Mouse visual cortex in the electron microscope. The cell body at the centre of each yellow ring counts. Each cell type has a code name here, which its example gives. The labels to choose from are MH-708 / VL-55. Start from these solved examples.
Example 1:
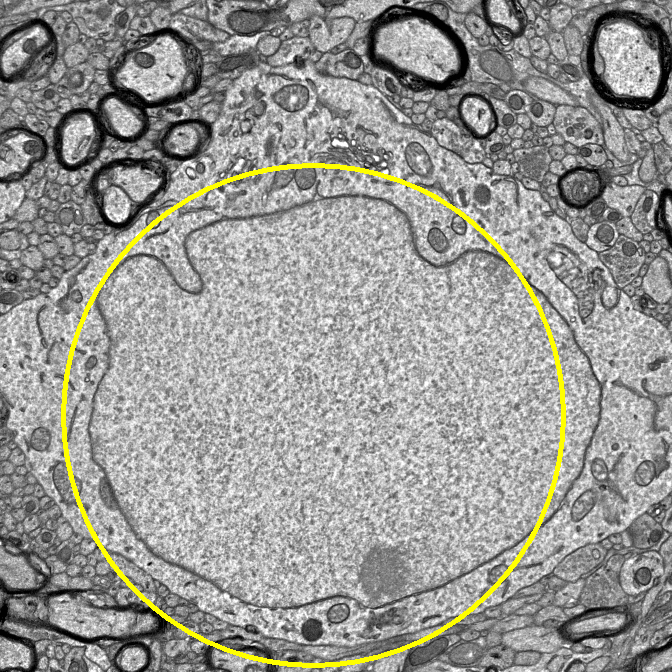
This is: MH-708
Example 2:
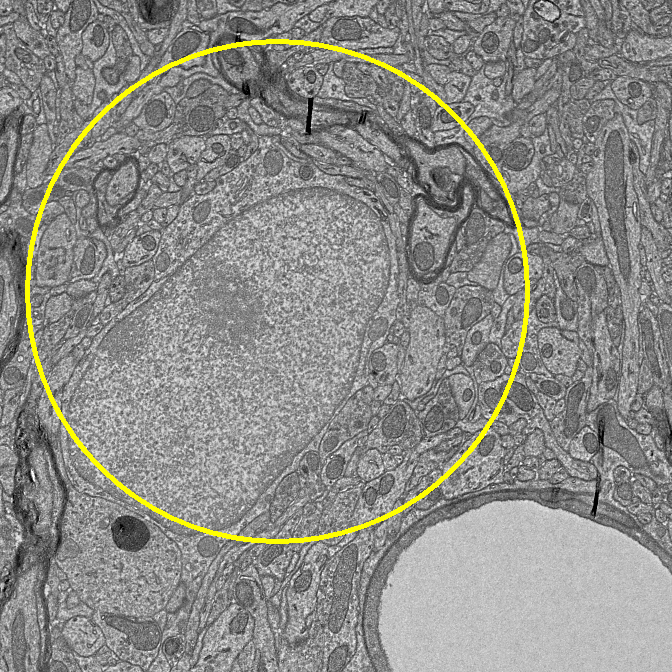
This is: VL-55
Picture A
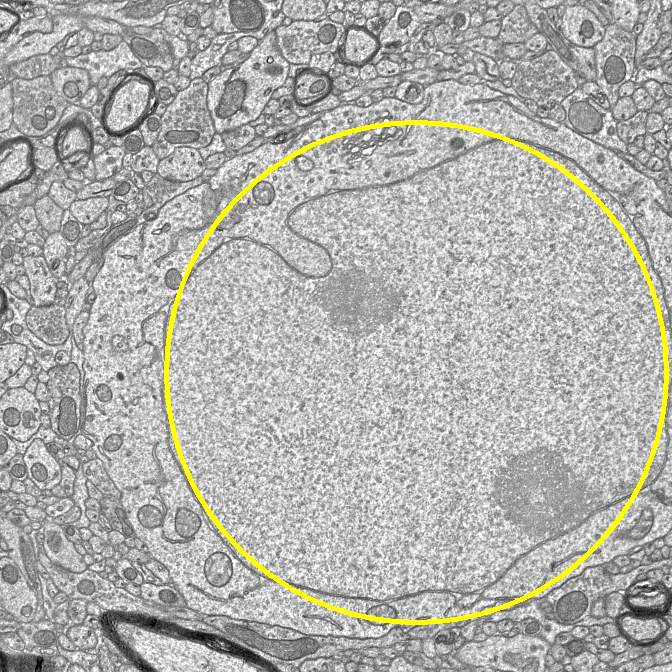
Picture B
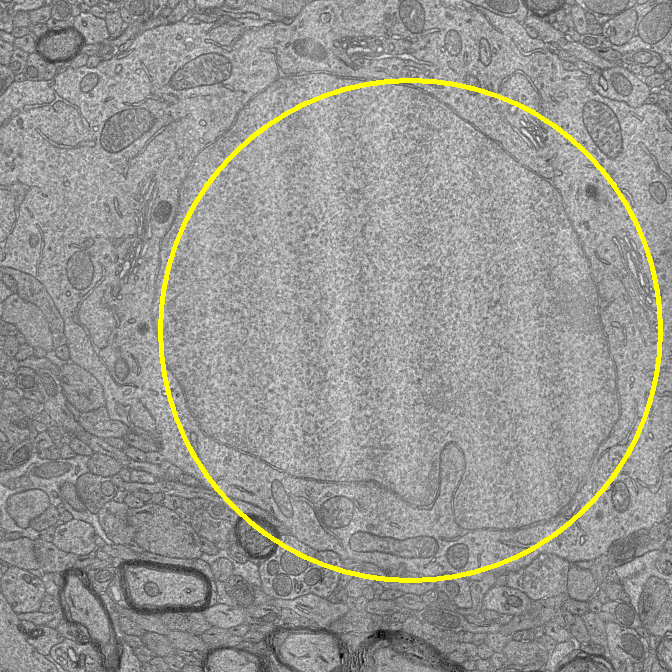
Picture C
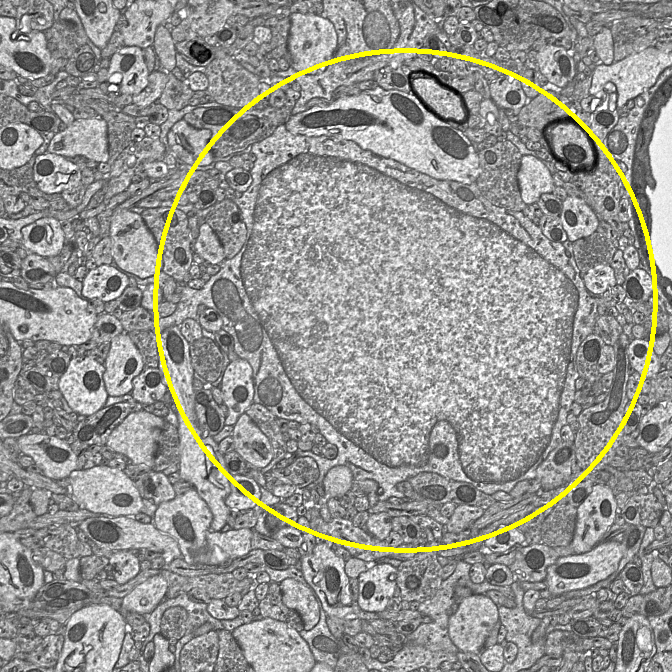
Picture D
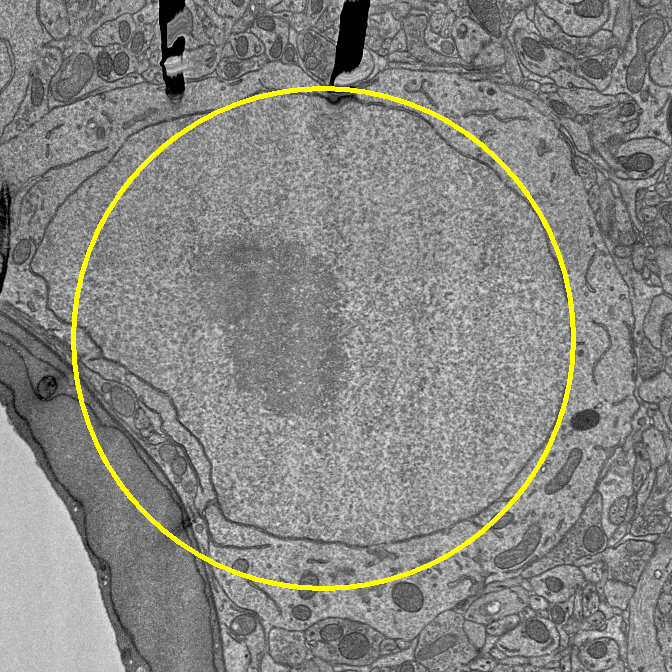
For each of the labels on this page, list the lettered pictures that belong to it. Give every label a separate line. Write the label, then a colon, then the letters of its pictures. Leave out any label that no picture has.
MH-708: A, B, D
VL-55: C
